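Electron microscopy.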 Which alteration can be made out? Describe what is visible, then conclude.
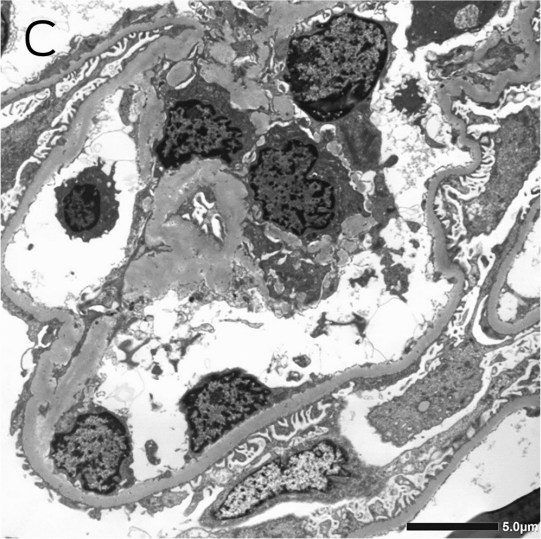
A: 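The grey basement membranes around the capillary loops form a broad, uniformly thick band.
Answer: thickened glomerular basement membranes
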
